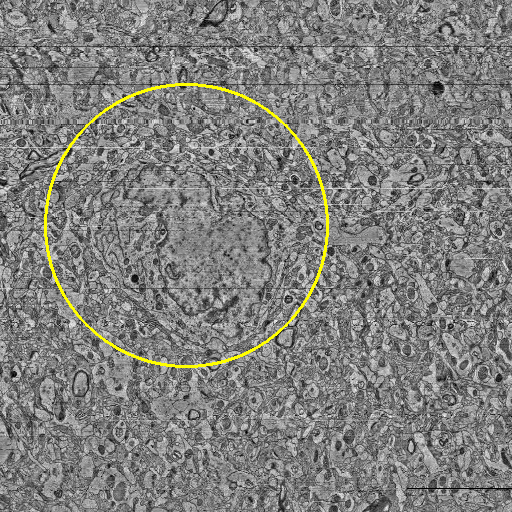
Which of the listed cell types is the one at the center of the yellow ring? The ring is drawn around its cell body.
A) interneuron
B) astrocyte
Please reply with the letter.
A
